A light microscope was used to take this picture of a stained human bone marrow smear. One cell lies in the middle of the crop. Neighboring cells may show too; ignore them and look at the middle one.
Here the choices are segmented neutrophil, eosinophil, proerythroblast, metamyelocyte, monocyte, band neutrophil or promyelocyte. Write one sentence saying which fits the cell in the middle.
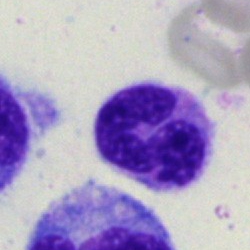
Here the centrally located cell is a band neutrophil.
